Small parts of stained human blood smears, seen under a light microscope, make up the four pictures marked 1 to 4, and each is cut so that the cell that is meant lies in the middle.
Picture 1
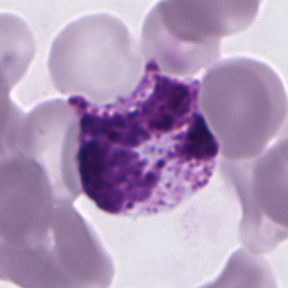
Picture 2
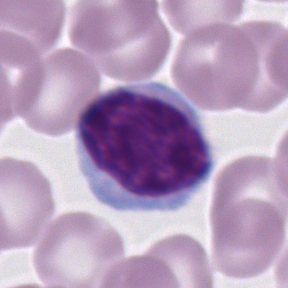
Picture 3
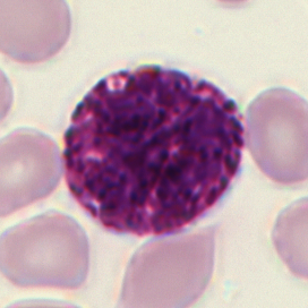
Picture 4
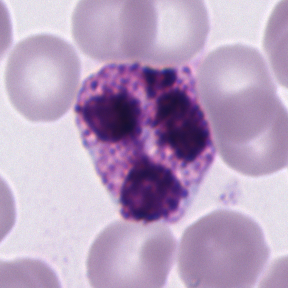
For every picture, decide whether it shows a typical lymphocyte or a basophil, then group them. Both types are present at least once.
1: basophil
2: typical lymphocyte
3: basophil
4: basophil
